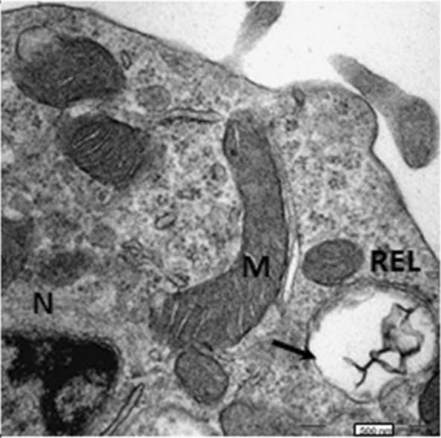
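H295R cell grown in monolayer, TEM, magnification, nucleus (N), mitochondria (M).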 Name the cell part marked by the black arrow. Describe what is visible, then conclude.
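The arrow points to a large round membrane-bound space that is almost white. Thin dark wisps of membrane-like material lie inside it. It sits in the cytoplasm beside mitochondria.
Conclusion: electron-lucent vacuole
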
